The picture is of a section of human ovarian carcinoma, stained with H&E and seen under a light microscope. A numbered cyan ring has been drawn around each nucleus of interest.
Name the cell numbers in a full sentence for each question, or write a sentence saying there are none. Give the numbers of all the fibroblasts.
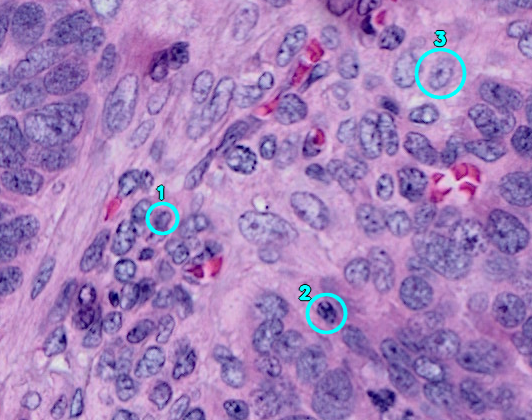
The sole numbered cell that is a fibroblast is cell 3.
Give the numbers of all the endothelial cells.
Cell 1 is the only one of the numbered cells that is an endothelial cell.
